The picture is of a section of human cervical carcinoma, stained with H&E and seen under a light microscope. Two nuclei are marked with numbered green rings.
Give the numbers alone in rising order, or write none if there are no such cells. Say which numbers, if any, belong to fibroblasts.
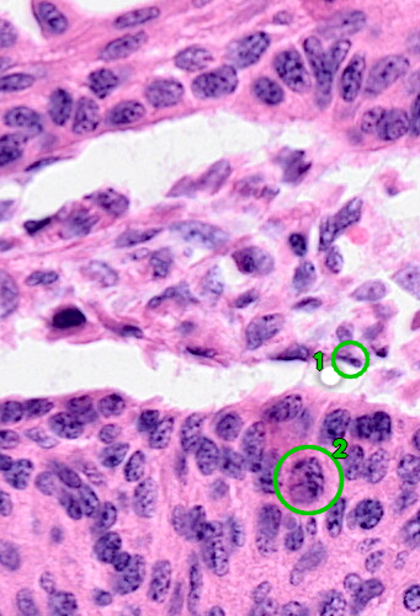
1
